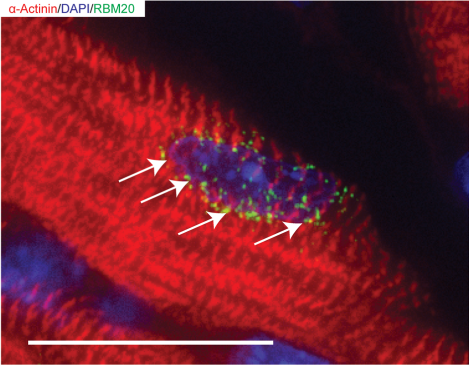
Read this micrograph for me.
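Heart muscle cell in section, with red cross-striations running regularly along the fibre. An elongated blue nucleus lies within the fibre. Numerous small green puncta cluster around the nuclear rim and extend outward into the surrounding striated cytoplasm, rather than sitting as discrete foci inside the nucleus. Neighbouring fibres at the edges show similar striation and dimmer blue nuclei; a darker gap separates fibres at the upper right.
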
